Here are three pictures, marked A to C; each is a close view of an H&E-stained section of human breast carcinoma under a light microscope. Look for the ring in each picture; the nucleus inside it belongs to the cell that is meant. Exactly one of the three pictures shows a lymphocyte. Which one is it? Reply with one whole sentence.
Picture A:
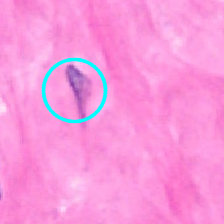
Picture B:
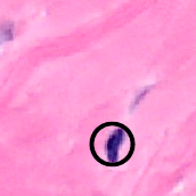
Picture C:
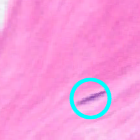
The lymphocyte is the one in picture B.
